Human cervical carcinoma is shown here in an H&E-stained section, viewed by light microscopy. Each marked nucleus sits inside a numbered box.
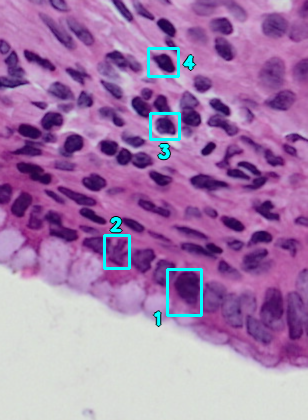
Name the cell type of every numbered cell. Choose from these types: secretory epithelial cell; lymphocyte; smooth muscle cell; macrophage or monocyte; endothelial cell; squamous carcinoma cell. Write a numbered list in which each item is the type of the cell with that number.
1. secretory epithelial cell
2. secretory epithelial cell
3. lymphocyte
4. lymphocyte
